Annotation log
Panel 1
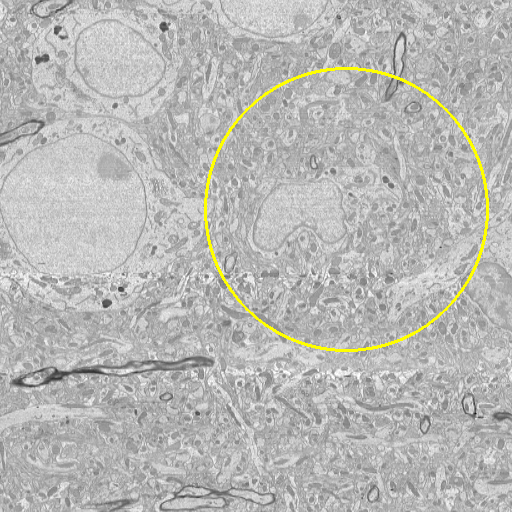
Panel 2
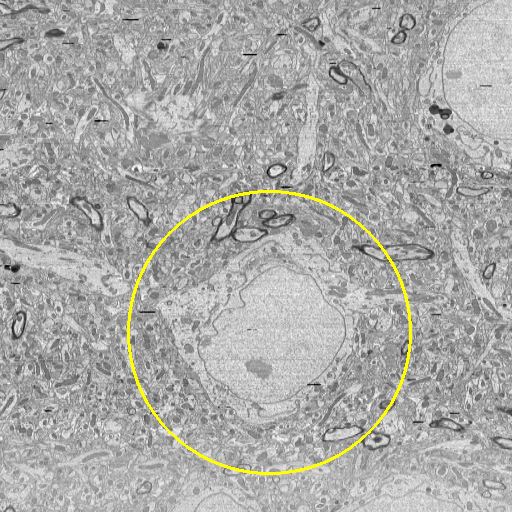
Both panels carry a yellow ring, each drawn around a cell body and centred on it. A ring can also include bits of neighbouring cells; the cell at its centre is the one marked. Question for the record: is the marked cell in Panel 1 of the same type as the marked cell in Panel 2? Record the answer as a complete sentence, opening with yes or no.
No, the marked cells in Panel 1 and Panel 2 are of two types.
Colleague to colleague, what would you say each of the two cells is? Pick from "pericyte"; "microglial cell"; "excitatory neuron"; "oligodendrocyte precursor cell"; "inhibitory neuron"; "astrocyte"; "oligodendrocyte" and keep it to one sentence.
The cell in the first picture is an oligodendrocyte precursor cell; the second picture's cell is an excitatory neuron.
